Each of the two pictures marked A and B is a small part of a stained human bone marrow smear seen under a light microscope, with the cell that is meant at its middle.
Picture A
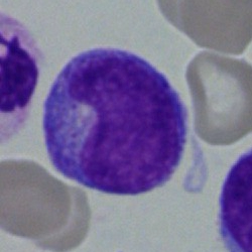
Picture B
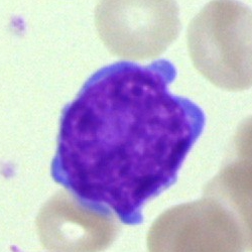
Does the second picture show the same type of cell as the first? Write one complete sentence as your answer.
Yes, they are the same type: both are blasts.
